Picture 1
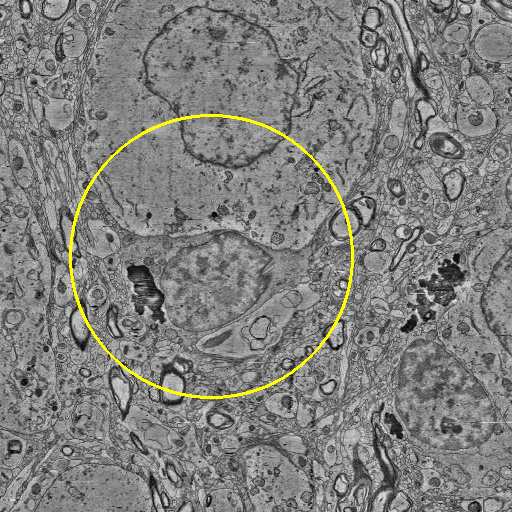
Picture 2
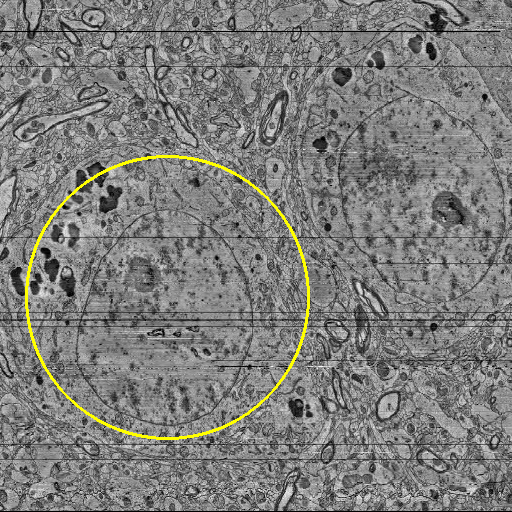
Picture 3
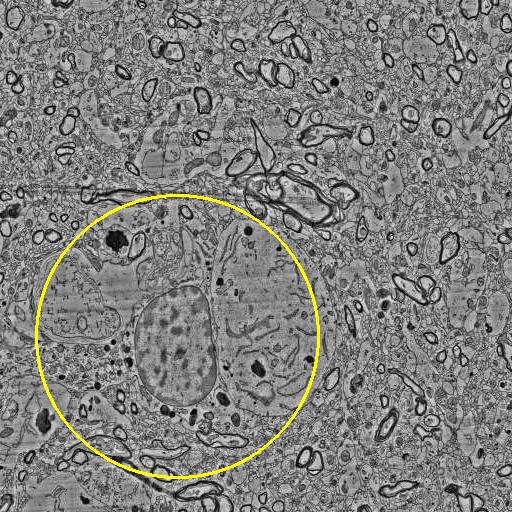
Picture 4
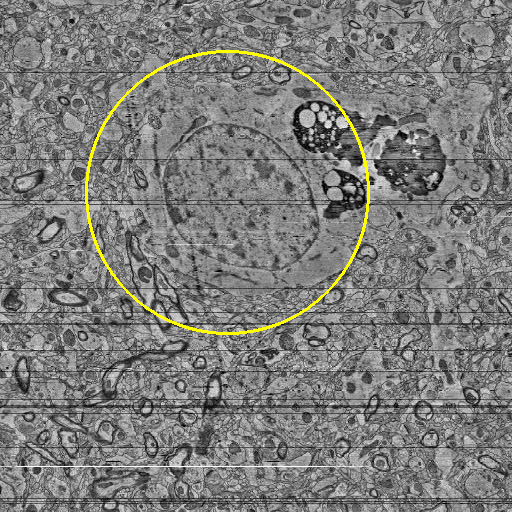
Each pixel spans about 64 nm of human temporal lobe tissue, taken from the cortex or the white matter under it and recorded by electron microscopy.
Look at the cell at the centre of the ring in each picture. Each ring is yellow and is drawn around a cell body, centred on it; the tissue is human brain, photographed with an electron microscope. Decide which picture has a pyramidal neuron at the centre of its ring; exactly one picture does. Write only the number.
2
